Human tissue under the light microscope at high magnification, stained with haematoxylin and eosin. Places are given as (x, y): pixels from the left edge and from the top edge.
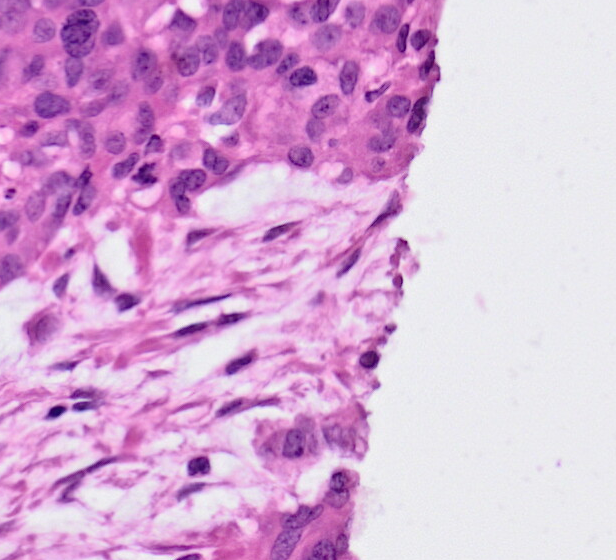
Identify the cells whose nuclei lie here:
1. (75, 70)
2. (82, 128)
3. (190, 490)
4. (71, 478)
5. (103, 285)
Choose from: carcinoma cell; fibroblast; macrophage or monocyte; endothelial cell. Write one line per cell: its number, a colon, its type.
1: carcinoma cell
2: carcinoma cell
3: fibroblast
4: fibroblast
5: fibroblast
